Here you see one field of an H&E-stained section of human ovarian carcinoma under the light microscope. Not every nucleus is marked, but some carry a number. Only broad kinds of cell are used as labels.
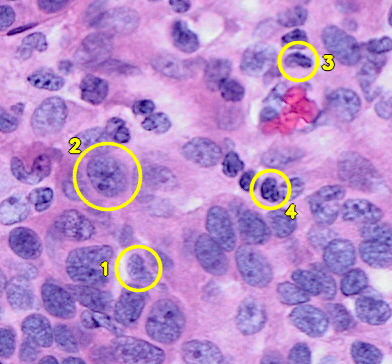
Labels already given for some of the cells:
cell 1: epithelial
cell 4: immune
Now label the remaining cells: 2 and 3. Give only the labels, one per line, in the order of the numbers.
epithelial
immune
